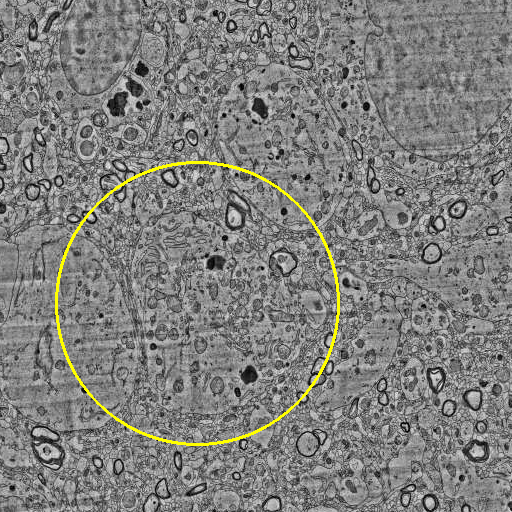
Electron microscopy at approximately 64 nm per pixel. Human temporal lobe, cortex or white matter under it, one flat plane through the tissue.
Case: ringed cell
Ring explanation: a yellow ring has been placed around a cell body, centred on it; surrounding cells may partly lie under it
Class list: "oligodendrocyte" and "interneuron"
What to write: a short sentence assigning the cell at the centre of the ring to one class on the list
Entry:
The cell at the ring's centre is an interneuron.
